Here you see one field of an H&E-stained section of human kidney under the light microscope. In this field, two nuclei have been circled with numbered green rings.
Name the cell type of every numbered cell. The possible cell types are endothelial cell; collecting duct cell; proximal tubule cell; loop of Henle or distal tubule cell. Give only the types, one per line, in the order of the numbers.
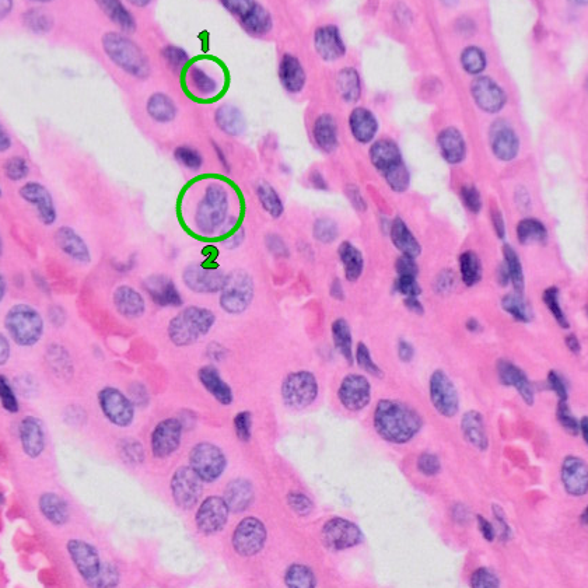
loop of Henle or distal tubule cell
collecting duct cell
